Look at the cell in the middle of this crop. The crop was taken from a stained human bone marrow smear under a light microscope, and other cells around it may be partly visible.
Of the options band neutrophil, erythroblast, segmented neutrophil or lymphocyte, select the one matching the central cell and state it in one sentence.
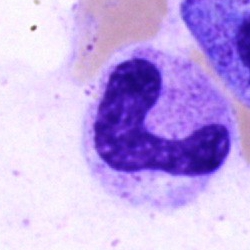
The middle cell in this particular crop is a band neutrophil.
